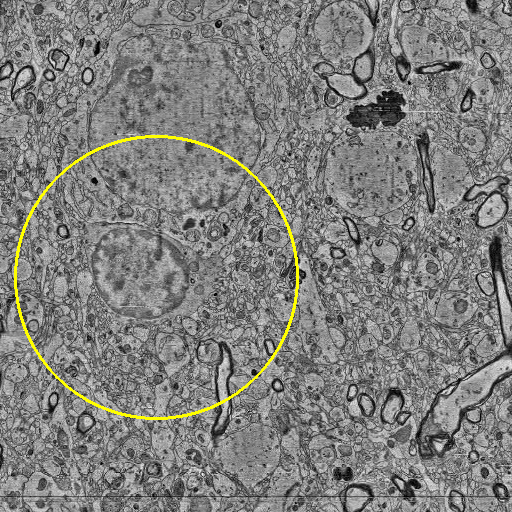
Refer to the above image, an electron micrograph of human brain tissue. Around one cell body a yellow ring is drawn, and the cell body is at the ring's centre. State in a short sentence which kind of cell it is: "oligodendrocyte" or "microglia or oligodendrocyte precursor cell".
The centre of the ring falls on an oligodendrocyte.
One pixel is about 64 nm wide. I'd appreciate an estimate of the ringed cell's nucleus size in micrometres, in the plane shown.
About 6 micrometers across, in this plane.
